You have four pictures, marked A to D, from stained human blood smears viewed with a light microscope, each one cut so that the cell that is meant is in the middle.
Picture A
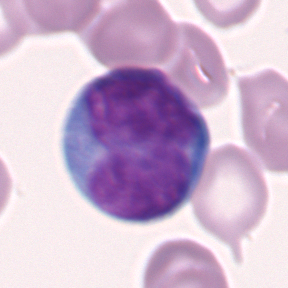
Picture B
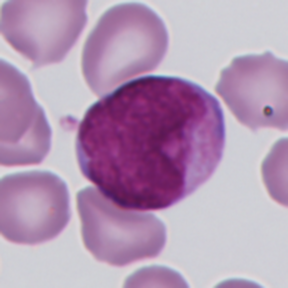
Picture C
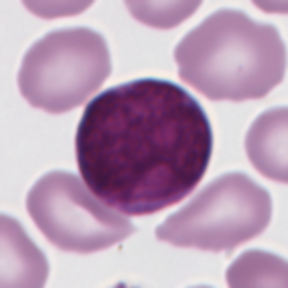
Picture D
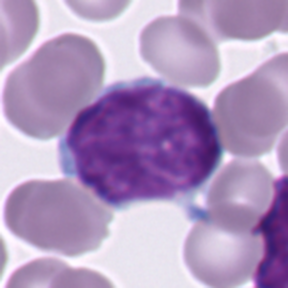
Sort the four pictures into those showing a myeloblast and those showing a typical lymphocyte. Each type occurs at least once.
A: myeloblast
B: myeloblast
C: myeloblast
D: typical lymphocyte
